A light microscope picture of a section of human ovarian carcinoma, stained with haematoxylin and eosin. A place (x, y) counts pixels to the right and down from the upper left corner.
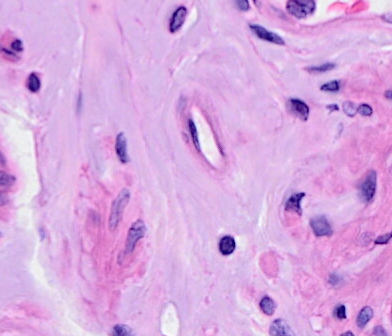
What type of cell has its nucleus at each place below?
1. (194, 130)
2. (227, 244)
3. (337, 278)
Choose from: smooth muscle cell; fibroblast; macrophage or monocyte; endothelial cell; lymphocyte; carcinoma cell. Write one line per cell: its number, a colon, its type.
1: endothelial cell
2: lymphocyte
3: smooth muscle cell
